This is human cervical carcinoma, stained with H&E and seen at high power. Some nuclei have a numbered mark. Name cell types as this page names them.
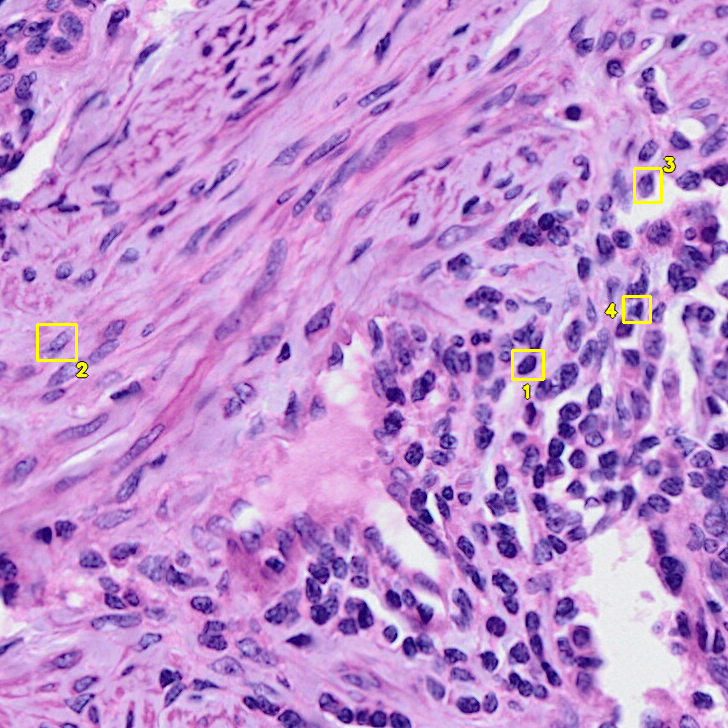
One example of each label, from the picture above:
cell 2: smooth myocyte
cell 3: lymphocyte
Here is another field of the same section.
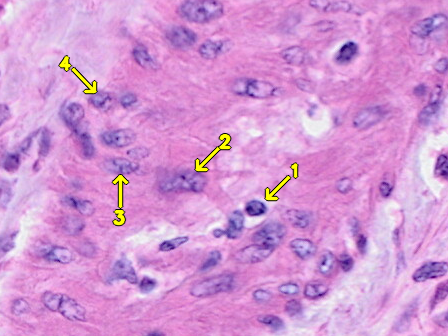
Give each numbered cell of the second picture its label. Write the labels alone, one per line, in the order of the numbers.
lymphocyte
smooth myocyte
smooth myocyte
smooth myocyte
